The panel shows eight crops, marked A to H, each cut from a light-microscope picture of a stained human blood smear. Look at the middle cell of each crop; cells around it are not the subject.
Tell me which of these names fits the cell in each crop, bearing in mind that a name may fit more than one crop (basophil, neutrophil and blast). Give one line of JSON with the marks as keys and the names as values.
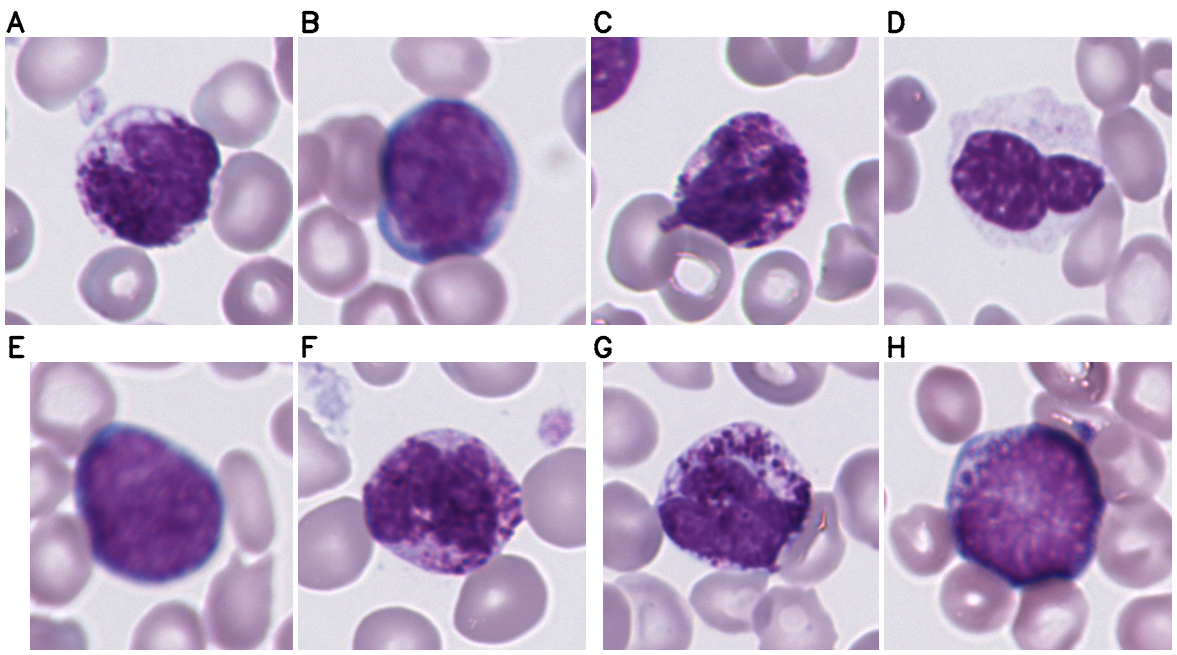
{"A": "basophil", "B": "blast", "C": "basophil", "D": "neutrophil", "E": "blast", "F": "basophil", "G": "basophil", "H": "blast"}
